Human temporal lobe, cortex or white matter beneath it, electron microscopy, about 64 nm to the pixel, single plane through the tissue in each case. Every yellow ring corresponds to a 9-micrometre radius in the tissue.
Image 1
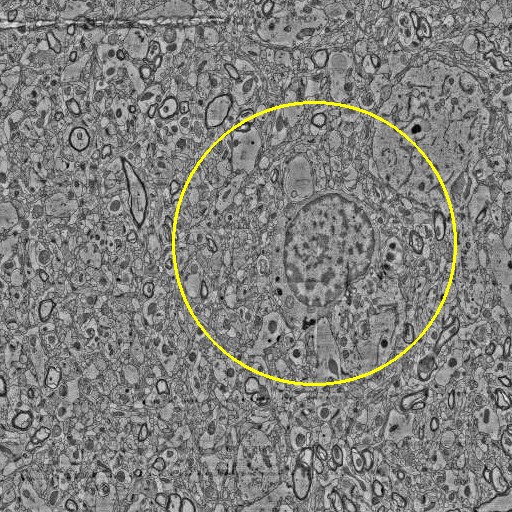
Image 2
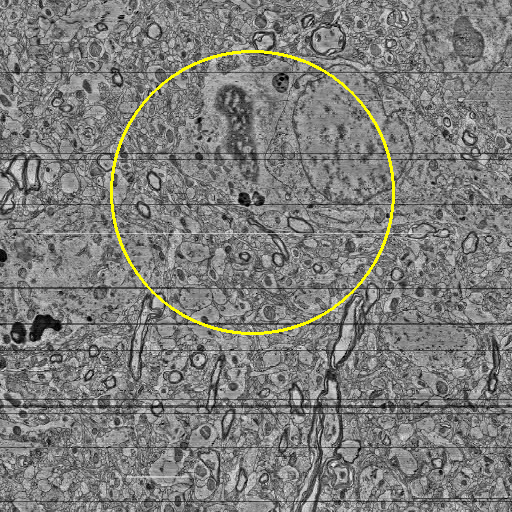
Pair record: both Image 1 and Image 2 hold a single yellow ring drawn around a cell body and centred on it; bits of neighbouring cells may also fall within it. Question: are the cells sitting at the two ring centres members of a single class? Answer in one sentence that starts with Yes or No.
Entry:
No, the ring-centre cells in Image 1 and Image 2 come from two classes.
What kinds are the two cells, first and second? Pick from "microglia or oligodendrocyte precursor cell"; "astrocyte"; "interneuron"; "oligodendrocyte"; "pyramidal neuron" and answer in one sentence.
The second picture holds a microglial cell or oligodendrocyte precursor cell in its ring, and the first holds an oligodendrocyte.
